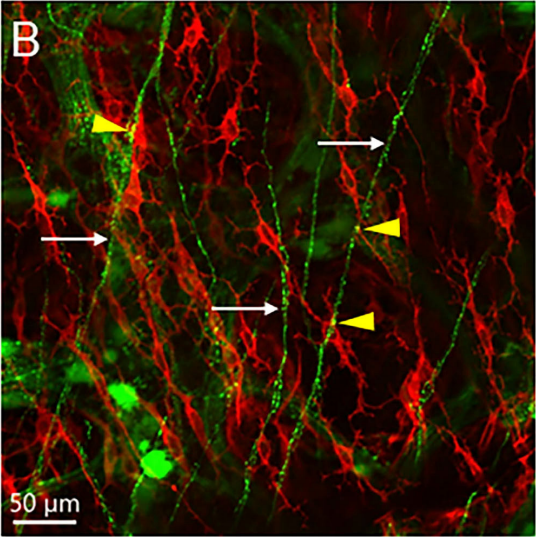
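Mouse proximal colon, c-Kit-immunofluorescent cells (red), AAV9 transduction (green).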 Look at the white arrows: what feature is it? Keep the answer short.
Nerves.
